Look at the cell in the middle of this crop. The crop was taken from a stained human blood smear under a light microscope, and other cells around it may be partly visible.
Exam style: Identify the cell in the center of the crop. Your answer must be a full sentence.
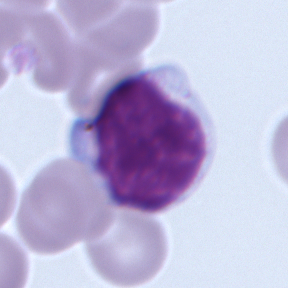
Where the crop is centred, there is a large granular lymphocyte.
